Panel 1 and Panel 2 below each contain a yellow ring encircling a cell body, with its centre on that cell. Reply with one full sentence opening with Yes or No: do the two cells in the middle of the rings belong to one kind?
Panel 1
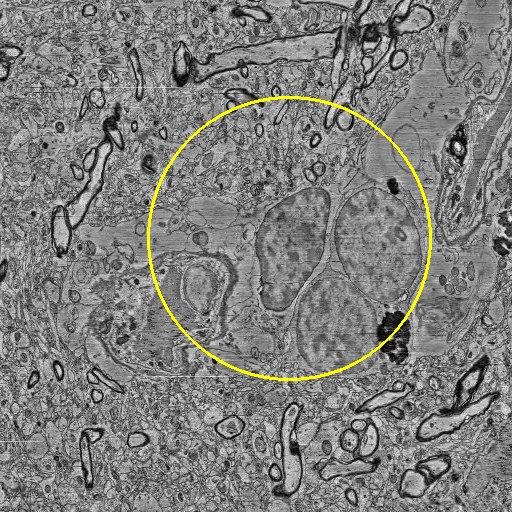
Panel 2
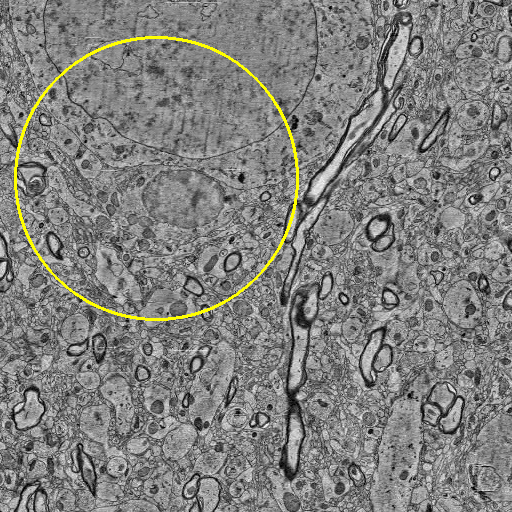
No, the cells at the middle of the Panel 1 ring and the Panel 2 ring are of two kinds.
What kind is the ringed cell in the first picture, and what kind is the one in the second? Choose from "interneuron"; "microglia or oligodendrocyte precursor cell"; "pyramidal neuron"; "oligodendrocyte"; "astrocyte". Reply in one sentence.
The first cell is a microglial cell or oligodendrocyte precursor cell; the second is an oligodendrocyte.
